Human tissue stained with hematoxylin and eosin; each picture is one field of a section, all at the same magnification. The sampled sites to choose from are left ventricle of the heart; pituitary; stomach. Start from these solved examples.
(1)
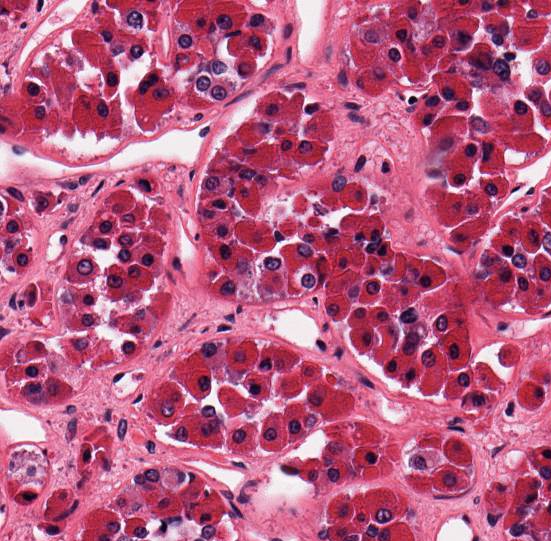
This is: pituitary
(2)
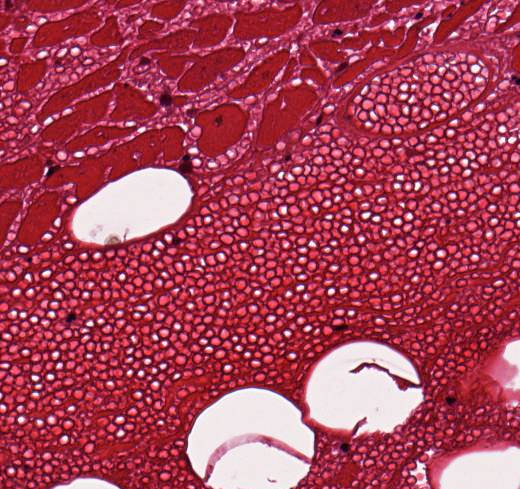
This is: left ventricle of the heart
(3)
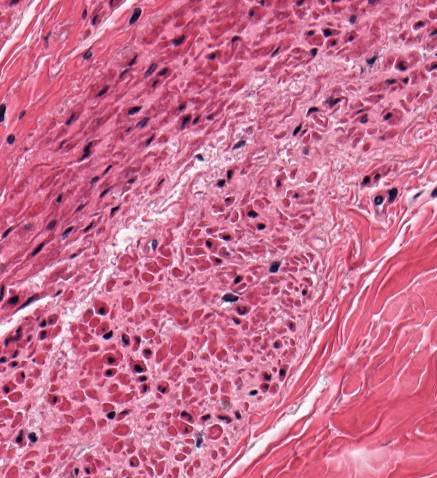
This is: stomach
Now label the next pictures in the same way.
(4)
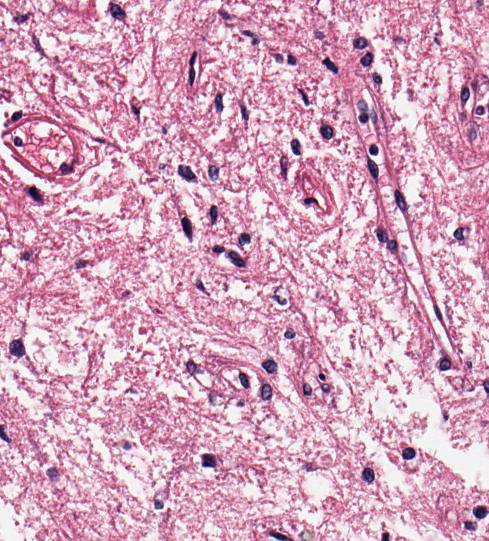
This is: pituitary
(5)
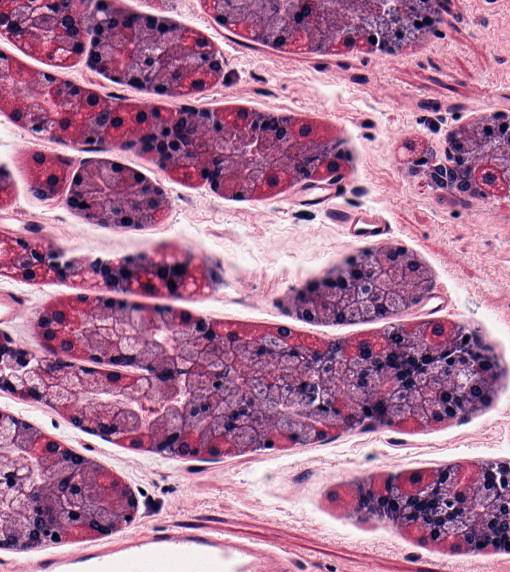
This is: stomach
